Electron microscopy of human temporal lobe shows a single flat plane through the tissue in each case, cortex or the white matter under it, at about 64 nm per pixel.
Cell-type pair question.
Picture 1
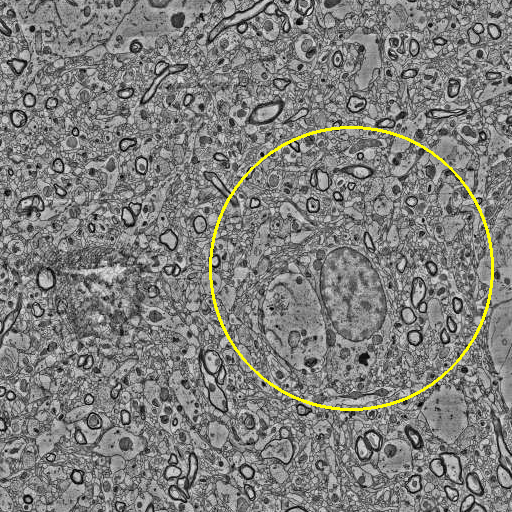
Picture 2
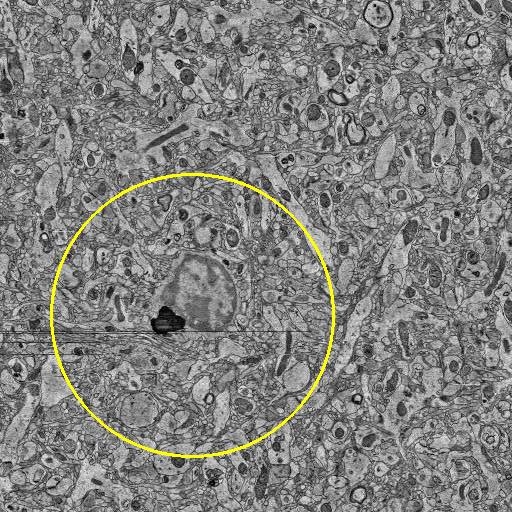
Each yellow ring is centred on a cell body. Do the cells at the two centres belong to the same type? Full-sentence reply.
Yes, the two cells belong to the same type.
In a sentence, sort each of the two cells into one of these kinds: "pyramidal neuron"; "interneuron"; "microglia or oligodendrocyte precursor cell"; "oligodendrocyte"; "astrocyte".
Each of the two pictures has an oligodendrocyte at the ring centre.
